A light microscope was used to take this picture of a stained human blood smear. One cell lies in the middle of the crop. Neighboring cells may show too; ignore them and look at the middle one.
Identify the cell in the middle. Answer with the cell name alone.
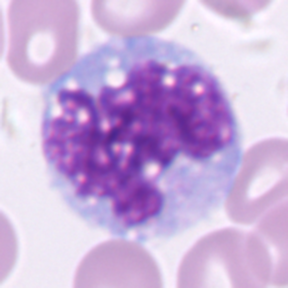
monocyte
